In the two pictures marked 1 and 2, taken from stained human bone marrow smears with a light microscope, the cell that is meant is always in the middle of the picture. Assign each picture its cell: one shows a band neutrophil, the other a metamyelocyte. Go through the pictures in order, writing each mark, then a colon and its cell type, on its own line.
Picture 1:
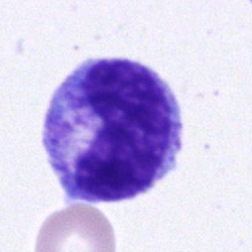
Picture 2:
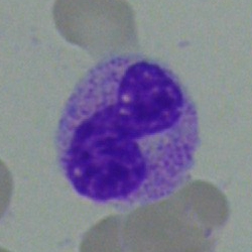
1: metamyelocyte
2: band neutrophil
